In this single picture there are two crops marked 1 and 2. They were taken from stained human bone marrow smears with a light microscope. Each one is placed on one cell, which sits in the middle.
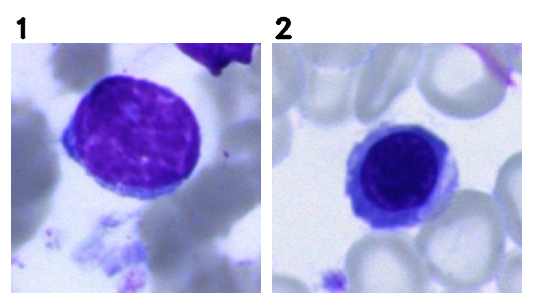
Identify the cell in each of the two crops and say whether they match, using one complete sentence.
No, crop 1 and crop 2 contain, respectively, a lymphocyte and a normoblast.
